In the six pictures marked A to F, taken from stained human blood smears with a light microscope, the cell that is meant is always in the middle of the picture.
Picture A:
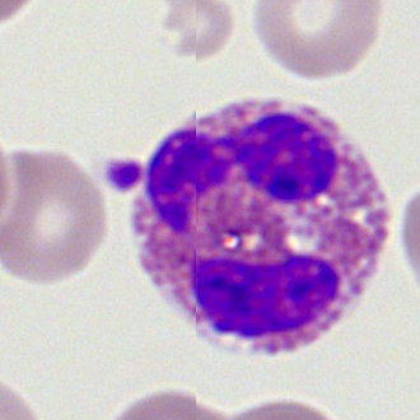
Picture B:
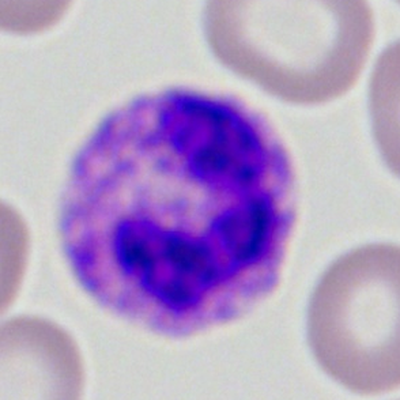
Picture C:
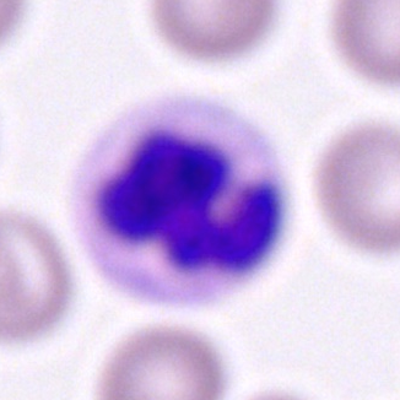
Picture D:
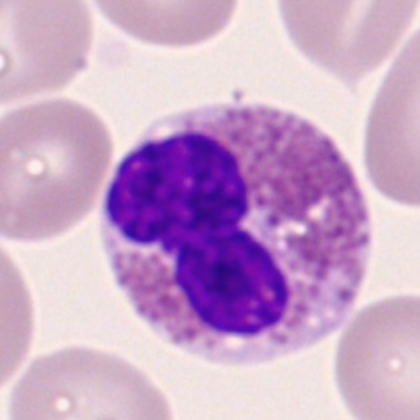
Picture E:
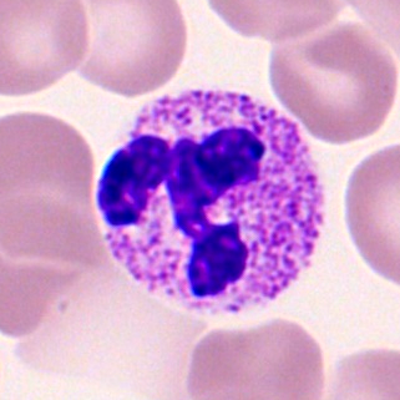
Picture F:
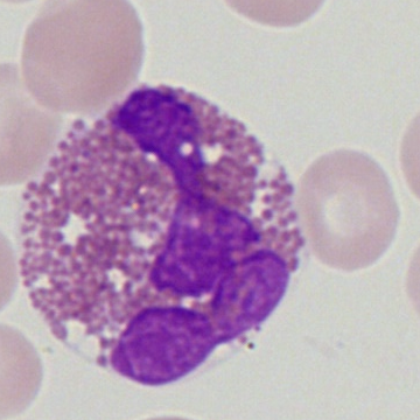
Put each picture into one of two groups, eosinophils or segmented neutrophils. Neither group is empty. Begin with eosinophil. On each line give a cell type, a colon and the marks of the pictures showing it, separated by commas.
eosinophil: A, B, D, F
segmented neutrophil: C, E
